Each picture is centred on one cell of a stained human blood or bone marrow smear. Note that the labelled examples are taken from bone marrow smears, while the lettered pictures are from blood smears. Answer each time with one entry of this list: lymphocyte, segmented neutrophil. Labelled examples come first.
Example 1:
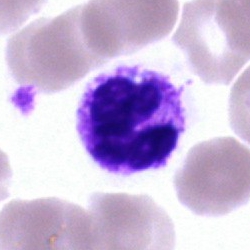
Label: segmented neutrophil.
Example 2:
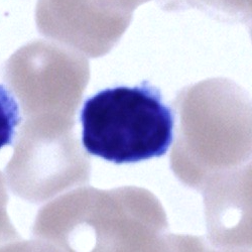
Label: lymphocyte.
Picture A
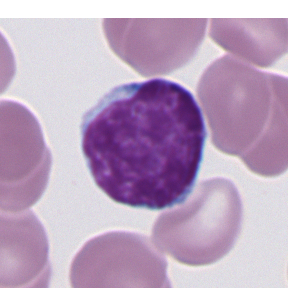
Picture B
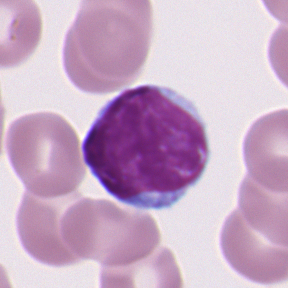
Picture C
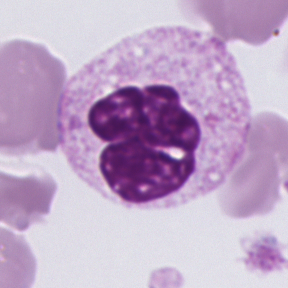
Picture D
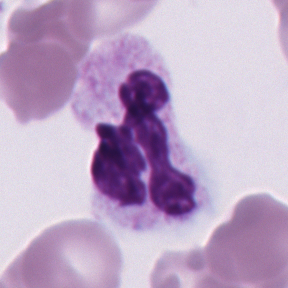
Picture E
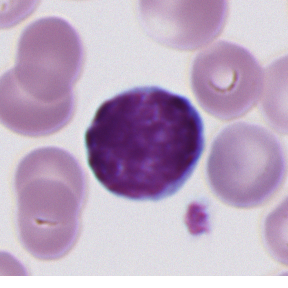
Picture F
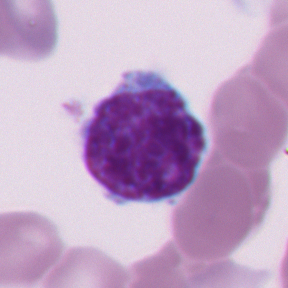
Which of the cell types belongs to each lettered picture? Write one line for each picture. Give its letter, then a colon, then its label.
A: lymphocyte.
B: lymphocyte.
C: segmented neutrophil.
D: segmented neutrophil.
E: lymphocyte.
F: lymphocyte.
